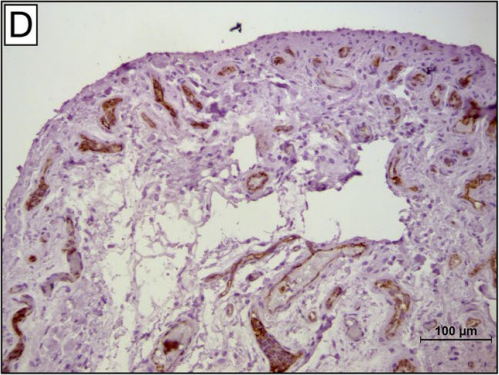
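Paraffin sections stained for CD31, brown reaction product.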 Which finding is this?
synovial hypervascularity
